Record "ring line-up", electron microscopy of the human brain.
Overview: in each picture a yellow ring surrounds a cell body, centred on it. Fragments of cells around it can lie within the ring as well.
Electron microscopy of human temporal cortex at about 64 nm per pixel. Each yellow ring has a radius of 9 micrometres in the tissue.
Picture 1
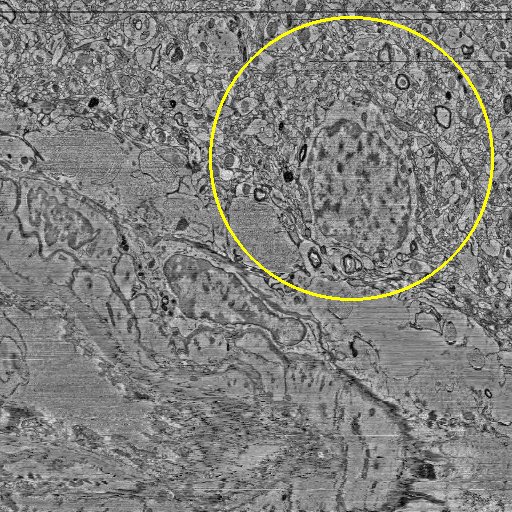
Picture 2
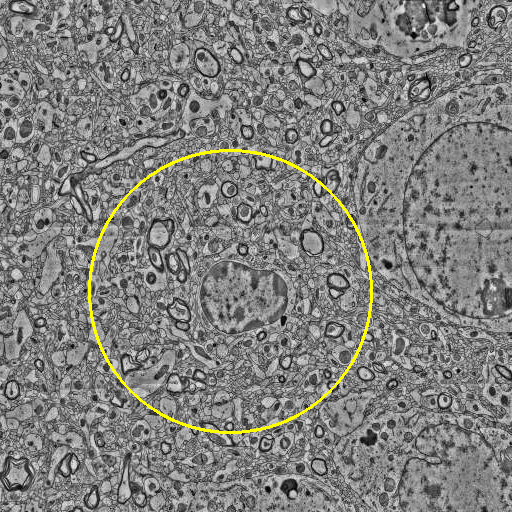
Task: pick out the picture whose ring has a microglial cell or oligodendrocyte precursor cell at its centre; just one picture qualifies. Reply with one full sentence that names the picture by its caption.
Going by the cell at the ring's centre, the right choice is Picture 2.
